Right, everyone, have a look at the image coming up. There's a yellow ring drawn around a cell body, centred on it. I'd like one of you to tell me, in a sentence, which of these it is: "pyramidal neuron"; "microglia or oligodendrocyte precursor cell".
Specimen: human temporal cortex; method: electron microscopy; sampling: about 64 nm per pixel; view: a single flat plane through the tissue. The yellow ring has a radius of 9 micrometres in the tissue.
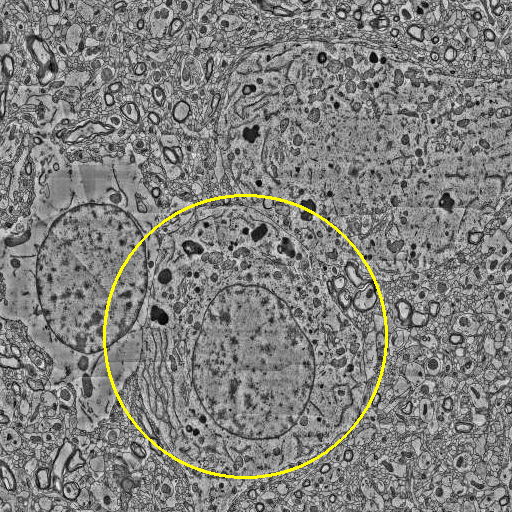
The yellow ring sits on a pyramidal neuron.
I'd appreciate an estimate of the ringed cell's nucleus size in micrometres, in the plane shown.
The nucleus is approximately 10 micrometers long by 8 micrometers wide in this plane.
